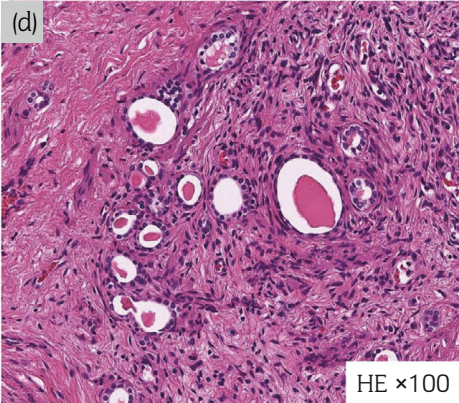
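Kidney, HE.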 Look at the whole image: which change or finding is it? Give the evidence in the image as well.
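Renal tubules are almost completely atrophied. Small round tubules are lined by flattened epithelium. Several tubules contain homogeneous pink material.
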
